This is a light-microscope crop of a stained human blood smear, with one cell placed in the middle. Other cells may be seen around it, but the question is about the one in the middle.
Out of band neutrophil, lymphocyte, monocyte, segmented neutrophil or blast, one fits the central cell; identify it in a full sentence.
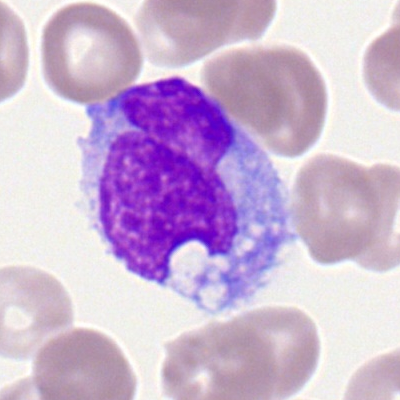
The cell the crop is centered on is a monocyte.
